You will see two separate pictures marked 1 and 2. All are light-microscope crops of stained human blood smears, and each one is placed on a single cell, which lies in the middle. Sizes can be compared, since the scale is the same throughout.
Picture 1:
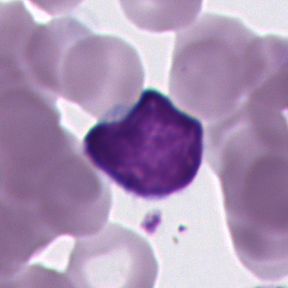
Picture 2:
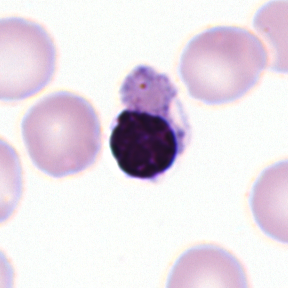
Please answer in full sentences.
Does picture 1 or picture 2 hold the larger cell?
It is the cell in picture 1, about 1.5 times as large in area as the cell in picture 2.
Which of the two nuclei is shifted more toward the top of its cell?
In picture 1 the nucleus is shifted more toward the top.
